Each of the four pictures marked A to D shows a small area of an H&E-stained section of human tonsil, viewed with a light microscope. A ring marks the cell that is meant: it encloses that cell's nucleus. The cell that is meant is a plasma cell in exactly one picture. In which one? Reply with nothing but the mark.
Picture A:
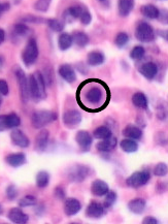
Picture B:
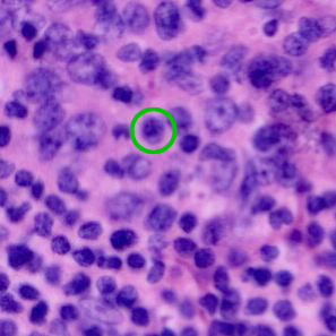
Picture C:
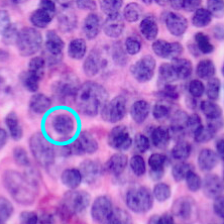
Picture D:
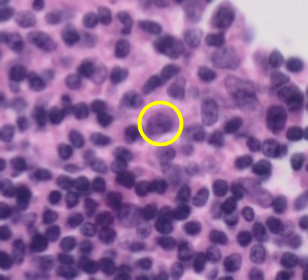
A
